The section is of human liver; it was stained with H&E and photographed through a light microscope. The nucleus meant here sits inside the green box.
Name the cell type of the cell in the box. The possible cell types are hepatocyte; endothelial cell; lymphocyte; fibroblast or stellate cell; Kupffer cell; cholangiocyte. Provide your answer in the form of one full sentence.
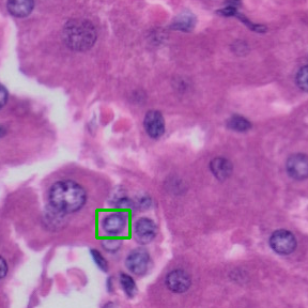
The identity of the cell in the box is that of a cholangiocyte.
